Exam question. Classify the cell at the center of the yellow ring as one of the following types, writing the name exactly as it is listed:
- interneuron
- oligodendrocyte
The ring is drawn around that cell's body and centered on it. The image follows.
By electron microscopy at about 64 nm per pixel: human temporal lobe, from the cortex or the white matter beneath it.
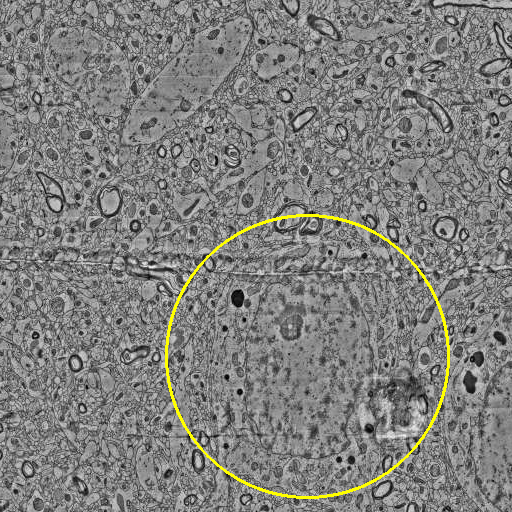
interneuron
